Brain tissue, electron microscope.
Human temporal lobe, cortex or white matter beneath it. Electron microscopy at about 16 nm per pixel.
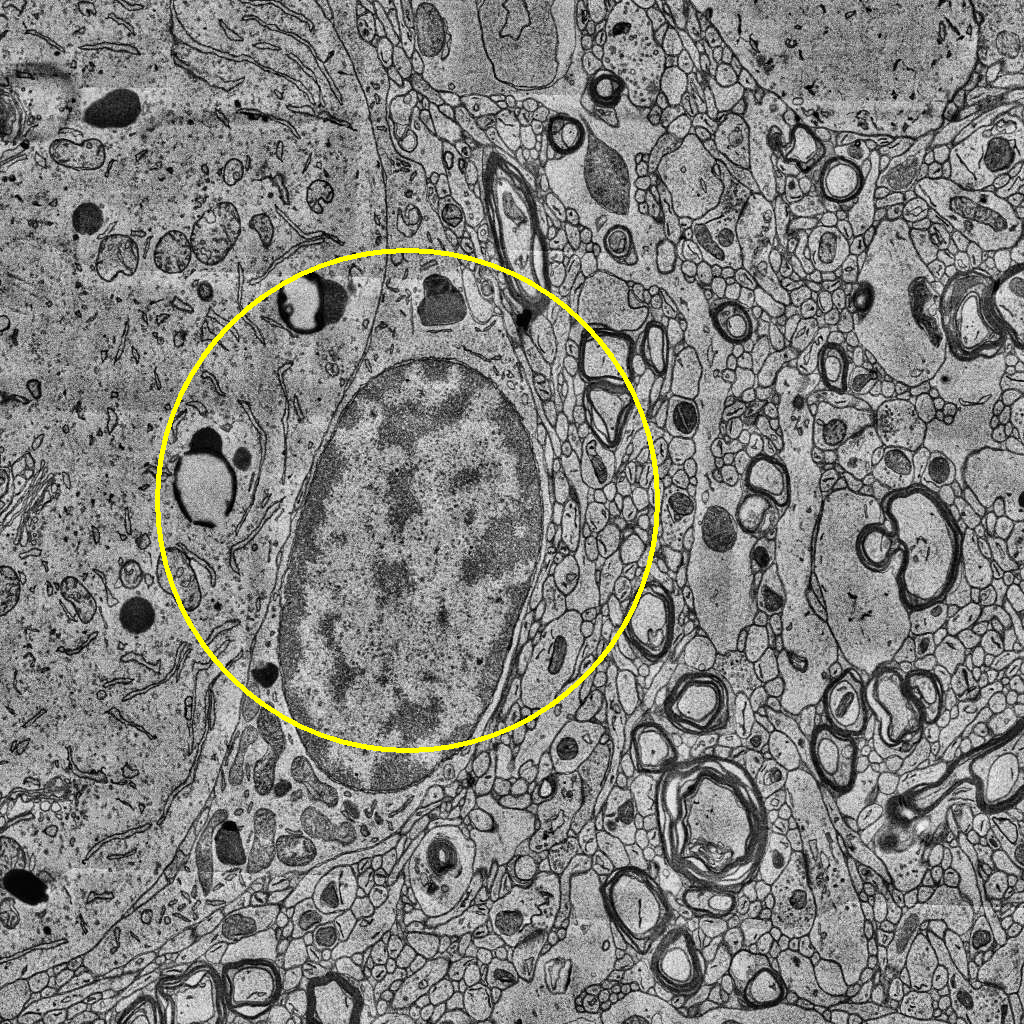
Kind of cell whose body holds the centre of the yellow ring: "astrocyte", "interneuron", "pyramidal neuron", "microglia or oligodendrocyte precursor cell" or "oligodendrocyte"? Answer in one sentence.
The ring's centre falls on a microglial cell or oligodendrocyte precursor cell.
